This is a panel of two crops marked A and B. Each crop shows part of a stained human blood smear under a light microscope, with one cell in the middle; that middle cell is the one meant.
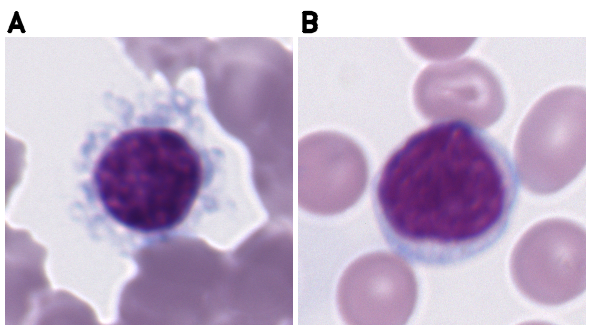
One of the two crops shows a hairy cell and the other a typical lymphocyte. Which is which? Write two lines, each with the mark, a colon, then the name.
A: hairy cell
B: typical lymphocyte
